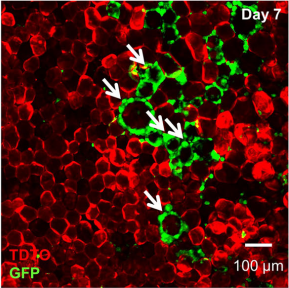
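Adipose tissue in which large, rounded to polygonal adipocytes, outlined in red, lie packed side by side at varying sizes. Small green cells lie scattered in the narrow spaces between them, and in several places they gather into closed green rings that encircle single adipocytes, as the white arrows show.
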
